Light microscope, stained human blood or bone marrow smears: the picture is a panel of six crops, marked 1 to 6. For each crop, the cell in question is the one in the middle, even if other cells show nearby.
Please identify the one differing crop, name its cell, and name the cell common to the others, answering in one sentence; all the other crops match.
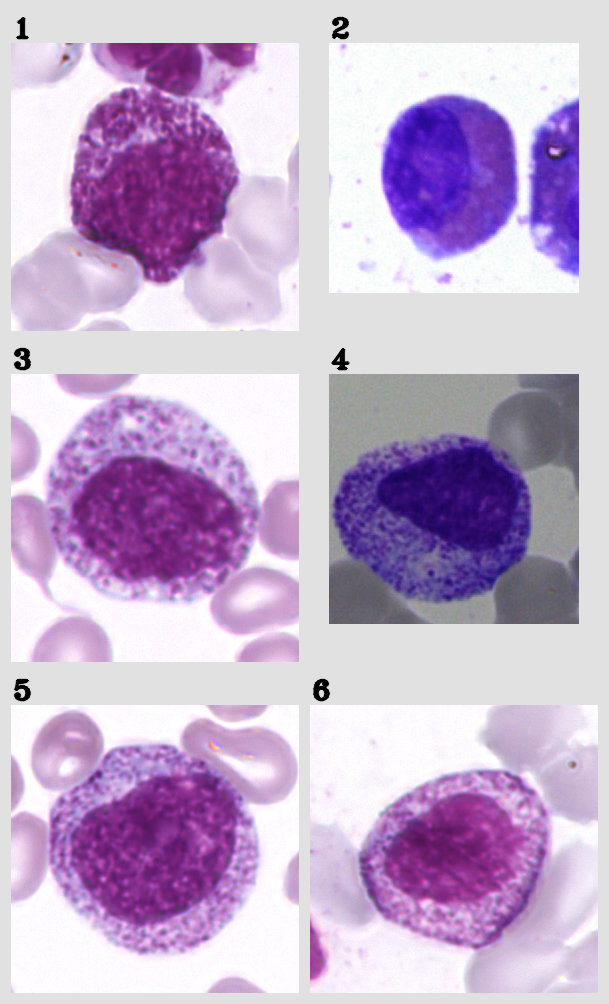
Crop 2 stands apart as an eosinophil, whereas the remaining crops all show myelocytes.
